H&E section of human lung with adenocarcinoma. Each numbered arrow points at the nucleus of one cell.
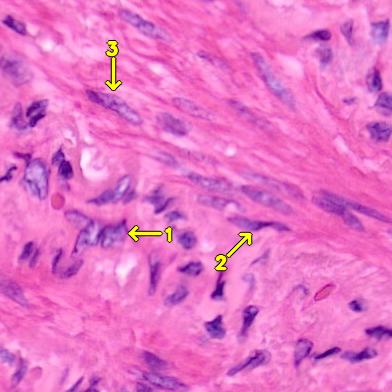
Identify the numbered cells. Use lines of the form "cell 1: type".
cell 1: endothelial cell
cell 2: smooth muscle cell or pericyte
cell 3: smooth muscle cell or pericyte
